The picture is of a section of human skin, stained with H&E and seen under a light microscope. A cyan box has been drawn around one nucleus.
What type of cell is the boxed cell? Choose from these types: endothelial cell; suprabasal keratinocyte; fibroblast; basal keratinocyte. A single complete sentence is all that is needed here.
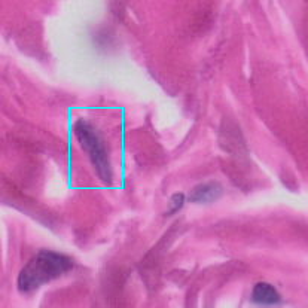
What the boxed cell represents is a fibroblast.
